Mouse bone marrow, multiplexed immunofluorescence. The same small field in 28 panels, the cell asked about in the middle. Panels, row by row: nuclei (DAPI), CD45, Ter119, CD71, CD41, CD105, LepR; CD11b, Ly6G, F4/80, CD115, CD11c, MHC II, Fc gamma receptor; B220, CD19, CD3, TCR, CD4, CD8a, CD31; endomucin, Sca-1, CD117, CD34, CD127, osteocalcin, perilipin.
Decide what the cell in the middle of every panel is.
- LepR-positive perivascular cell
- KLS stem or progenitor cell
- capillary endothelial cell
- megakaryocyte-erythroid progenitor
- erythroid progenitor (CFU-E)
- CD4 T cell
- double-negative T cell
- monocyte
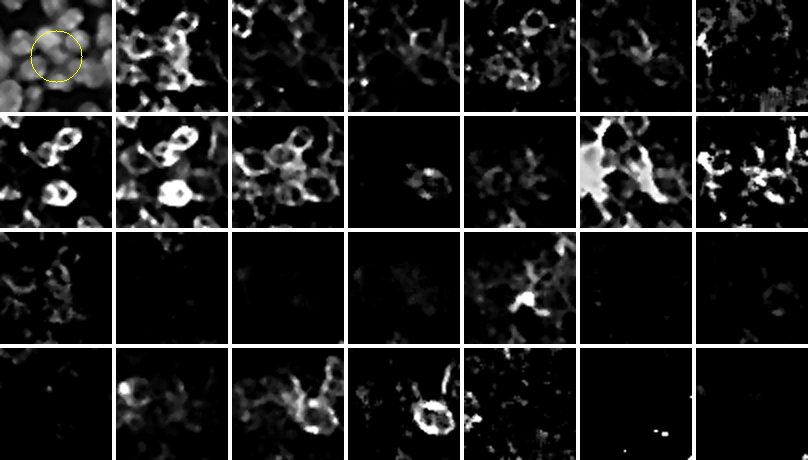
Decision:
erythroid progenitor (CFU-E)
